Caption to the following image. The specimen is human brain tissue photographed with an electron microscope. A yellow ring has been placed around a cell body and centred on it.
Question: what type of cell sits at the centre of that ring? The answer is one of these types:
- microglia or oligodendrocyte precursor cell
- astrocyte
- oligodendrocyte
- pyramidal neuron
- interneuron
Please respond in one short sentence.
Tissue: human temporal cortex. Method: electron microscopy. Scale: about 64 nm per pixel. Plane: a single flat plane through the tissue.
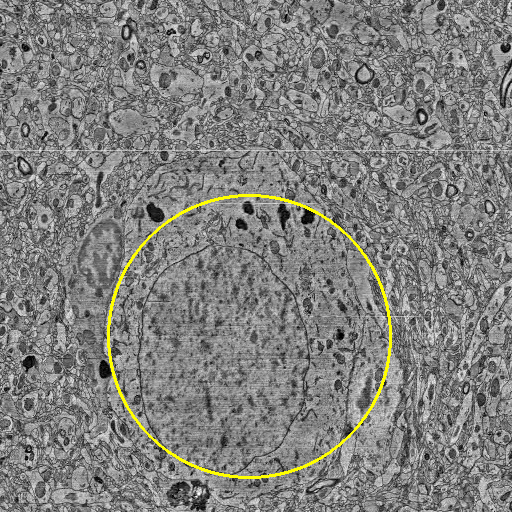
The ring surrounds the cell body of a pyramidal neuron.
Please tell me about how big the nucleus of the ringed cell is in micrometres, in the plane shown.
In this plane, about 15 micrometres in length and 11 in width.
